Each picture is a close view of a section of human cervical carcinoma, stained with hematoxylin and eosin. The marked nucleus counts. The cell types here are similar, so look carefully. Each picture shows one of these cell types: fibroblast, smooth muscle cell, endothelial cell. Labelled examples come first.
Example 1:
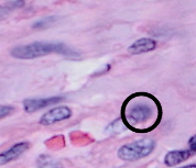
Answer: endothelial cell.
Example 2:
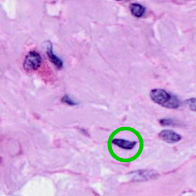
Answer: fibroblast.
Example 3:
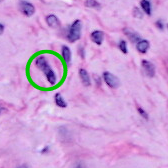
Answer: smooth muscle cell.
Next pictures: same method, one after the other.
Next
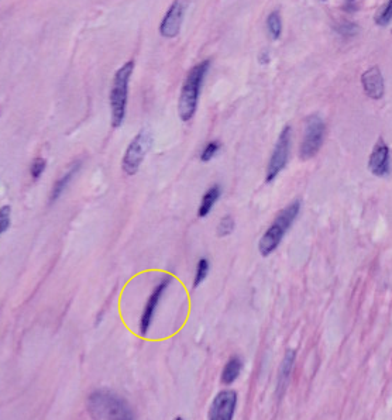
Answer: fibroblast.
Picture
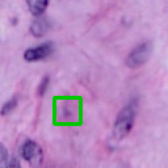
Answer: smooth muscle cell.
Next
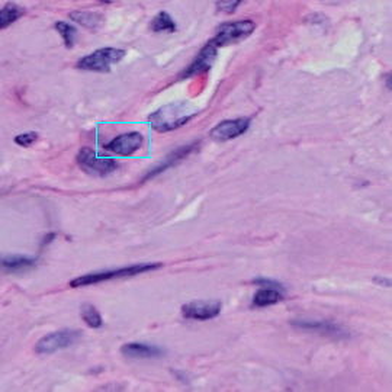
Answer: endothelial cell.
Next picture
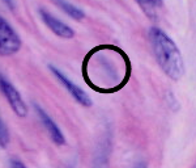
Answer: smooth muscle cell.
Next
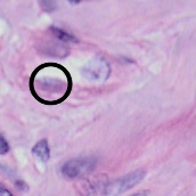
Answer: endothelial cell.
